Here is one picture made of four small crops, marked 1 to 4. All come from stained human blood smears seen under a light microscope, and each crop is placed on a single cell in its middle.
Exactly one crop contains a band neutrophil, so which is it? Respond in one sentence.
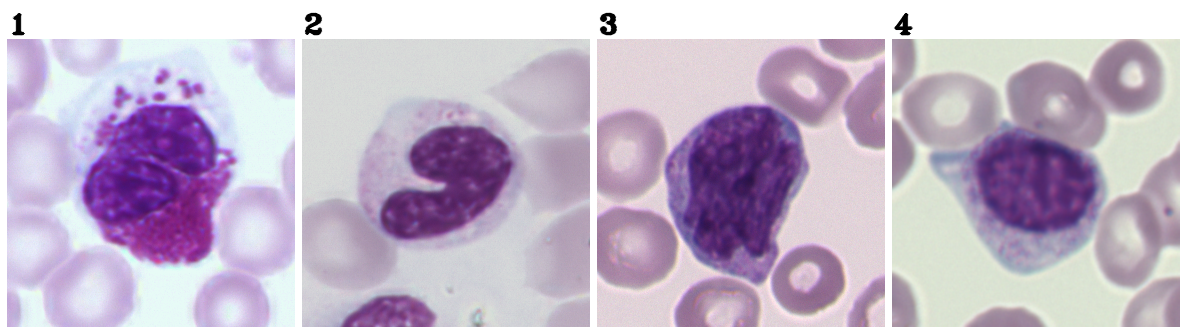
The crop with a band neutrophil at its center is crop 2.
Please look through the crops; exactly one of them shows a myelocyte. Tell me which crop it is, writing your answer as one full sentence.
Within this set, crop 4 is the one with a myelocyte at its center.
